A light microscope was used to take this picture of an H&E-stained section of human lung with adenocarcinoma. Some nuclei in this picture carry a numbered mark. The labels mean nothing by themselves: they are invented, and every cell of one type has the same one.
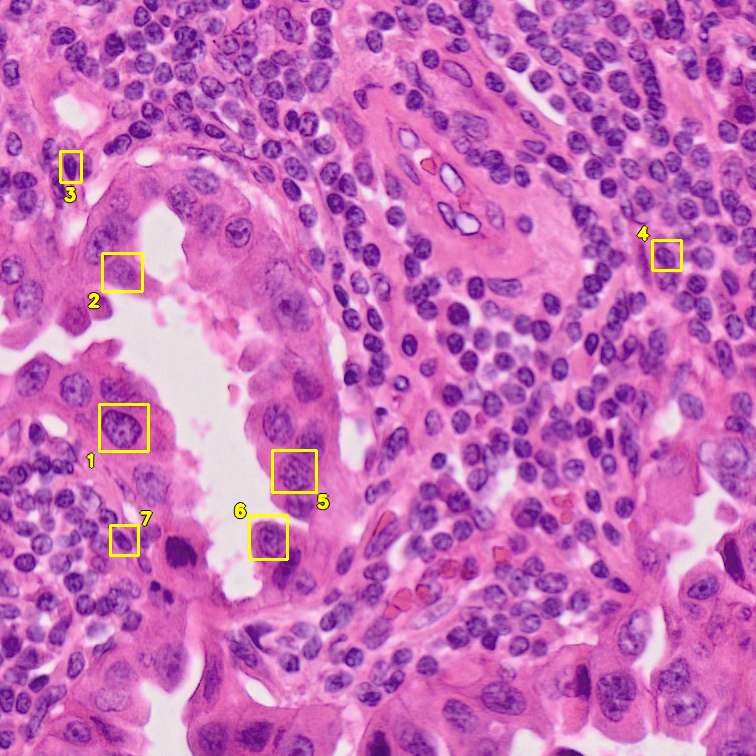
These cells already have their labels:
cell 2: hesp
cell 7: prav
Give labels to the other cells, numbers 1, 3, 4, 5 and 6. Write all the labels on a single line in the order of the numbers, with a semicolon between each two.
hesp; prav; prav; hesp; hesp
